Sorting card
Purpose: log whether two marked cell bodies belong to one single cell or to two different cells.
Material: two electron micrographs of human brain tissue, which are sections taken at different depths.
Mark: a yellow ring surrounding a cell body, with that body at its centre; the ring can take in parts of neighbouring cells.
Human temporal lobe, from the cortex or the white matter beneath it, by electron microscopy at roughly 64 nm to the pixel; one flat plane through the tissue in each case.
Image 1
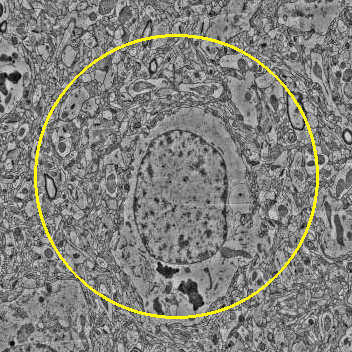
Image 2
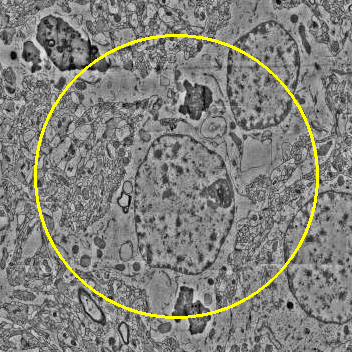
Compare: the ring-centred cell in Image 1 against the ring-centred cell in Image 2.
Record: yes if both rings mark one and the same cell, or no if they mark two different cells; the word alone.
yes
